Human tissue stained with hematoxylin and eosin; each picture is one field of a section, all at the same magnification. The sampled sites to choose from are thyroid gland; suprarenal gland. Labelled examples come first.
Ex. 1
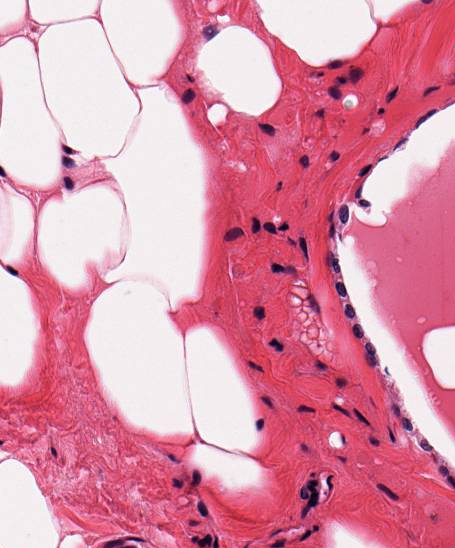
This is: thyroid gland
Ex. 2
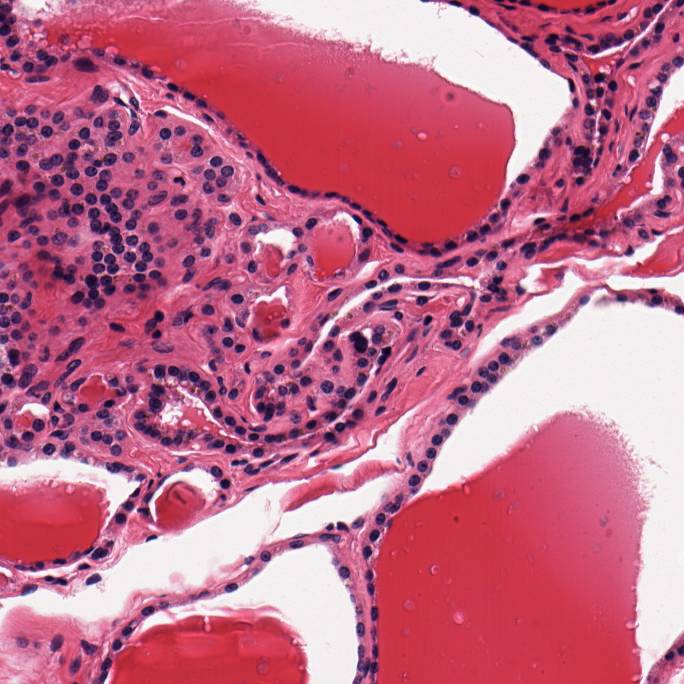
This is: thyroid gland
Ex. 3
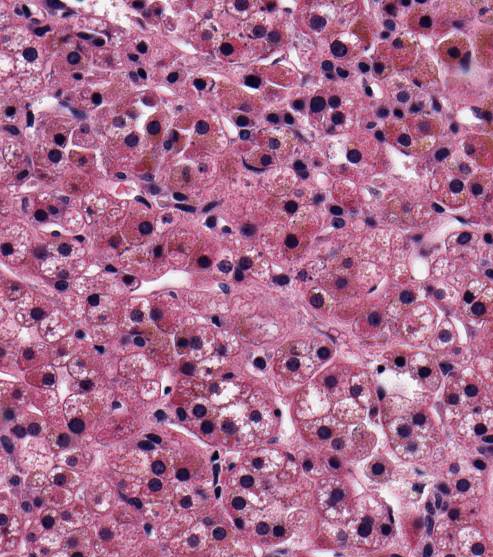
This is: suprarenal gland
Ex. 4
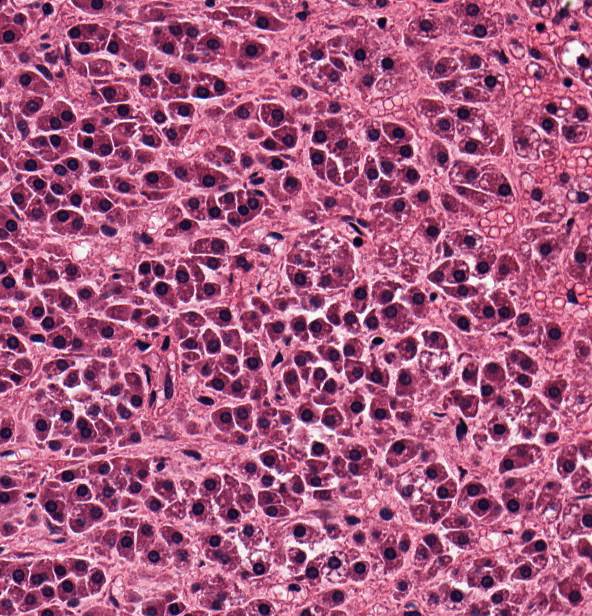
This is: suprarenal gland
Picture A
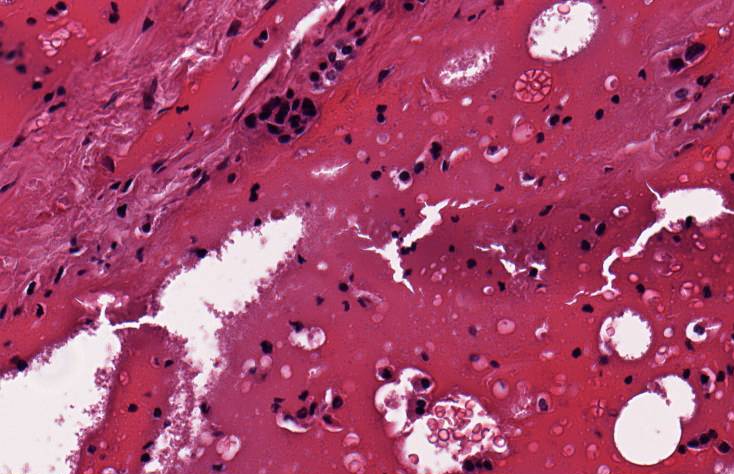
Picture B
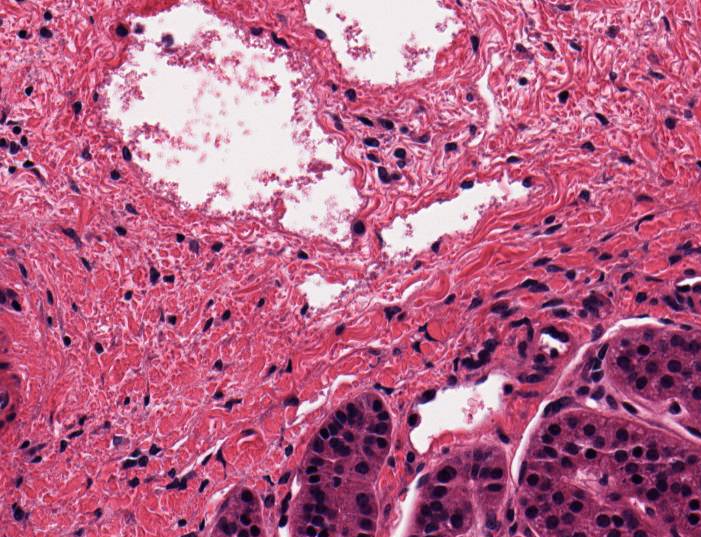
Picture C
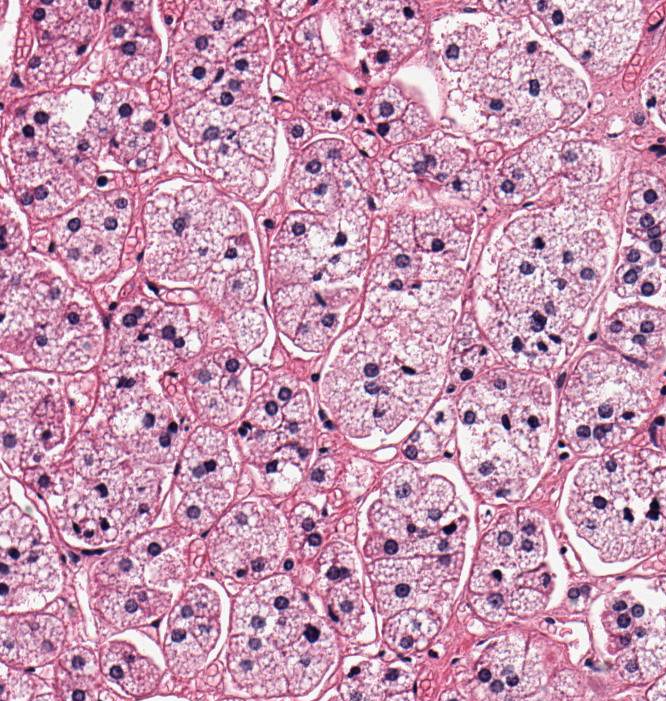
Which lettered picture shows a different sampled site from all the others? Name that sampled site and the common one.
A: thyroid gland; all the others: suprarenal gland.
